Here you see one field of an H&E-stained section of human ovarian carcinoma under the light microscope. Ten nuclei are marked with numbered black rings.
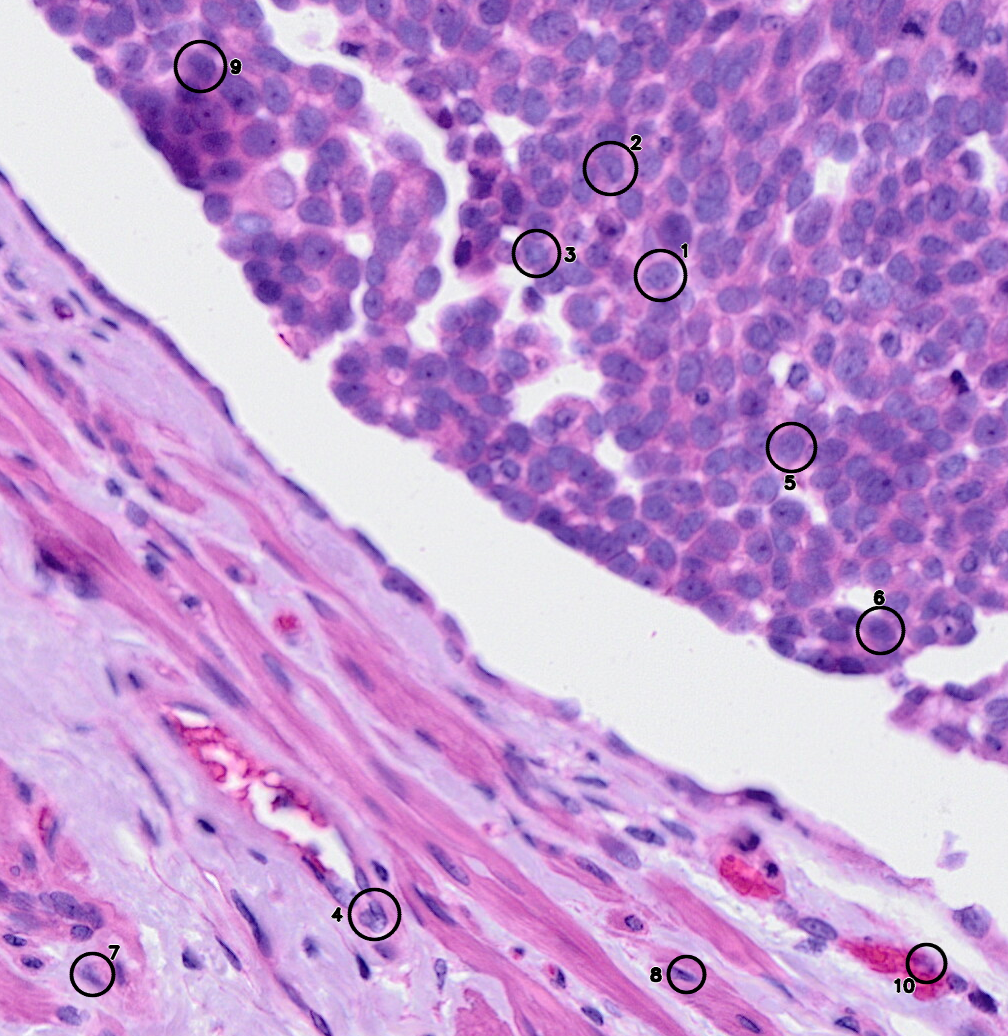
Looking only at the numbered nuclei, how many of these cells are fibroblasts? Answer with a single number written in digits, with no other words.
0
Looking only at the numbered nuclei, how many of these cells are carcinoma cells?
6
